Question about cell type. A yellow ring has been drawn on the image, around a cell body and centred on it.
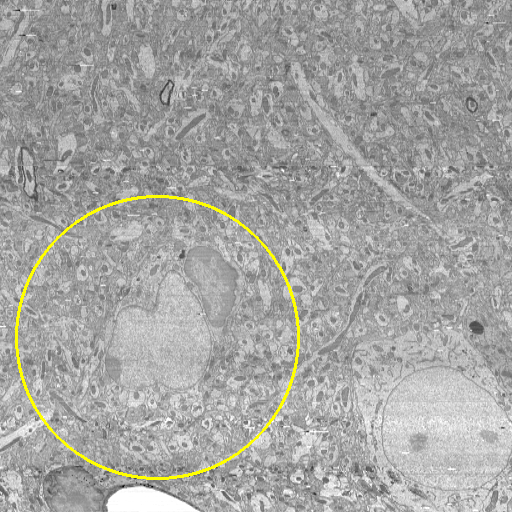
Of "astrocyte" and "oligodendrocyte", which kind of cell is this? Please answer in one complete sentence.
At the centre of the ring lies an astrocyte.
